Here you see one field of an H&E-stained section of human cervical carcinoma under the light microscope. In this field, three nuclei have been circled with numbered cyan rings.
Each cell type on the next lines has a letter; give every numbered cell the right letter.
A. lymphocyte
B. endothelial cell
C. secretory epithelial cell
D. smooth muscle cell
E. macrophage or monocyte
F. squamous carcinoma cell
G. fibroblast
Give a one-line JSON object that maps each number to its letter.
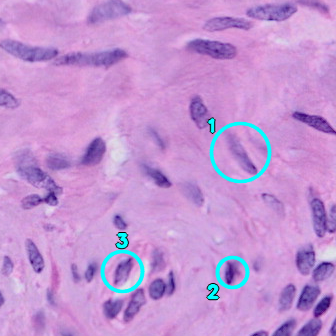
{"1": "G", "2": "G", "3": "B"}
